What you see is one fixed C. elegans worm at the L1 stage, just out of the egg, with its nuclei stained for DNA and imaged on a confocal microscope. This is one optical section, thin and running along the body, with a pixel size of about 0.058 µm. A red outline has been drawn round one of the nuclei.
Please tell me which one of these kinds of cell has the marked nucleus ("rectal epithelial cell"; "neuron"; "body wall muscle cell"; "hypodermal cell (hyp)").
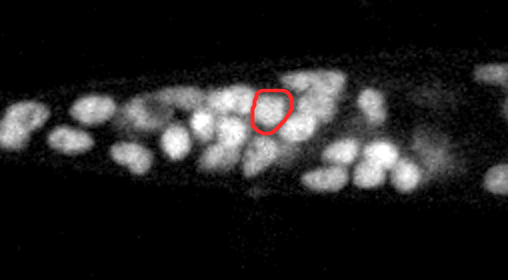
neuron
